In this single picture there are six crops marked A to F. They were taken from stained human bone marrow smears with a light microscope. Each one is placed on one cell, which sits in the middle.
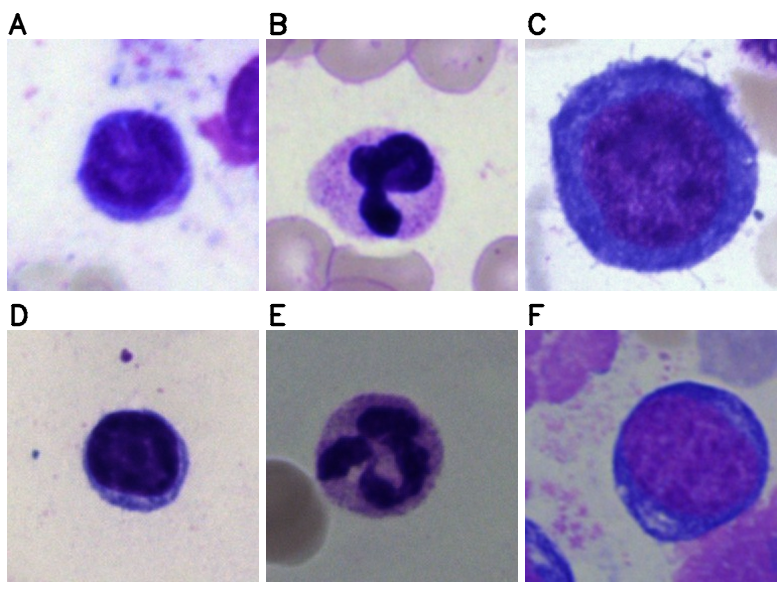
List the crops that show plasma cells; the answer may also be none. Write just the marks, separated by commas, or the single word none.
none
